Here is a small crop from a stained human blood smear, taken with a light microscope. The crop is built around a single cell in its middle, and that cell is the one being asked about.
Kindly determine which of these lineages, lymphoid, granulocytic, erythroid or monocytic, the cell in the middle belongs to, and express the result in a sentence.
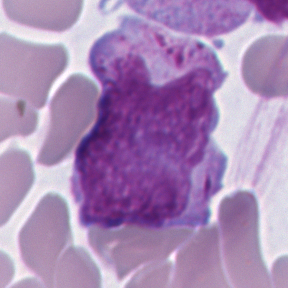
The cell occupying the center of the frame is part of the granulocytic lineage.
